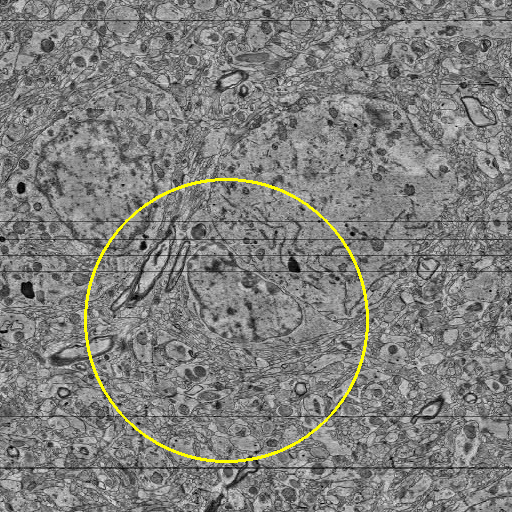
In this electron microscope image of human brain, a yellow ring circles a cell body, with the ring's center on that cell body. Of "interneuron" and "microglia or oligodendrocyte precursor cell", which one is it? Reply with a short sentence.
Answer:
It is a microglial cell or oligodendrocyte precursor cell at the center of the ring.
